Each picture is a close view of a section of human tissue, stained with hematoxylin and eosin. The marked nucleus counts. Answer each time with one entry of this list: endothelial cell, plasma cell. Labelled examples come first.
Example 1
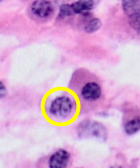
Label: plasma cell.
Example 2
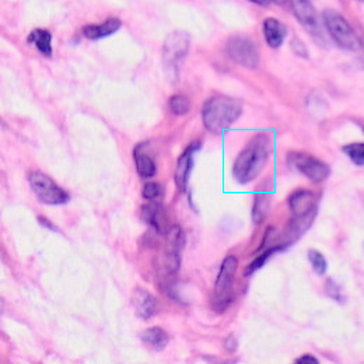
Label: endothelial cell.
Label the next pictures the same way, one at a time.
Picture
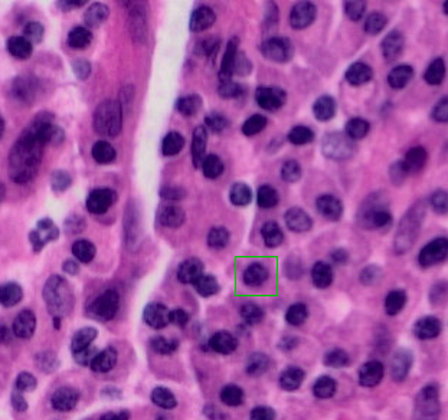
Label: plasma cell.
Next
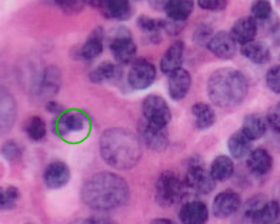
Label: endothelial cell.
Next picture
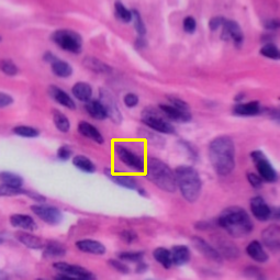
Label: endothelial cell.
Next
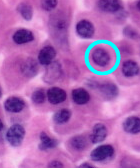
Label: plasma cell.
